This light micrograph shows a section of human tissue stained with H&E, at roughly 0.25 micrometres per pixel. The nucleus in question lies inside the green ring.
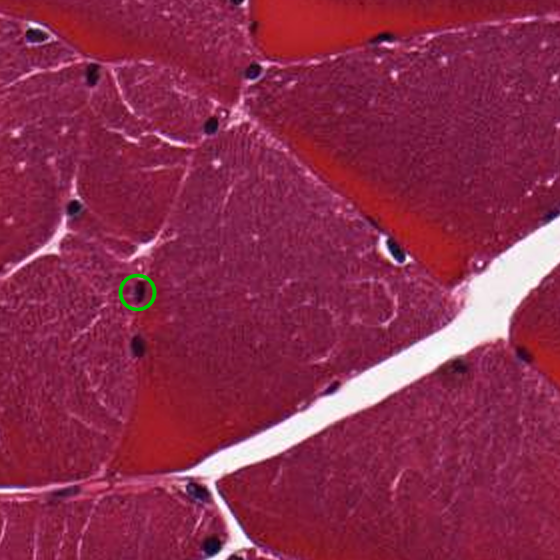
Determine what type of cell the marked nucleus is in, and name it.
skeletal muscle fibre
